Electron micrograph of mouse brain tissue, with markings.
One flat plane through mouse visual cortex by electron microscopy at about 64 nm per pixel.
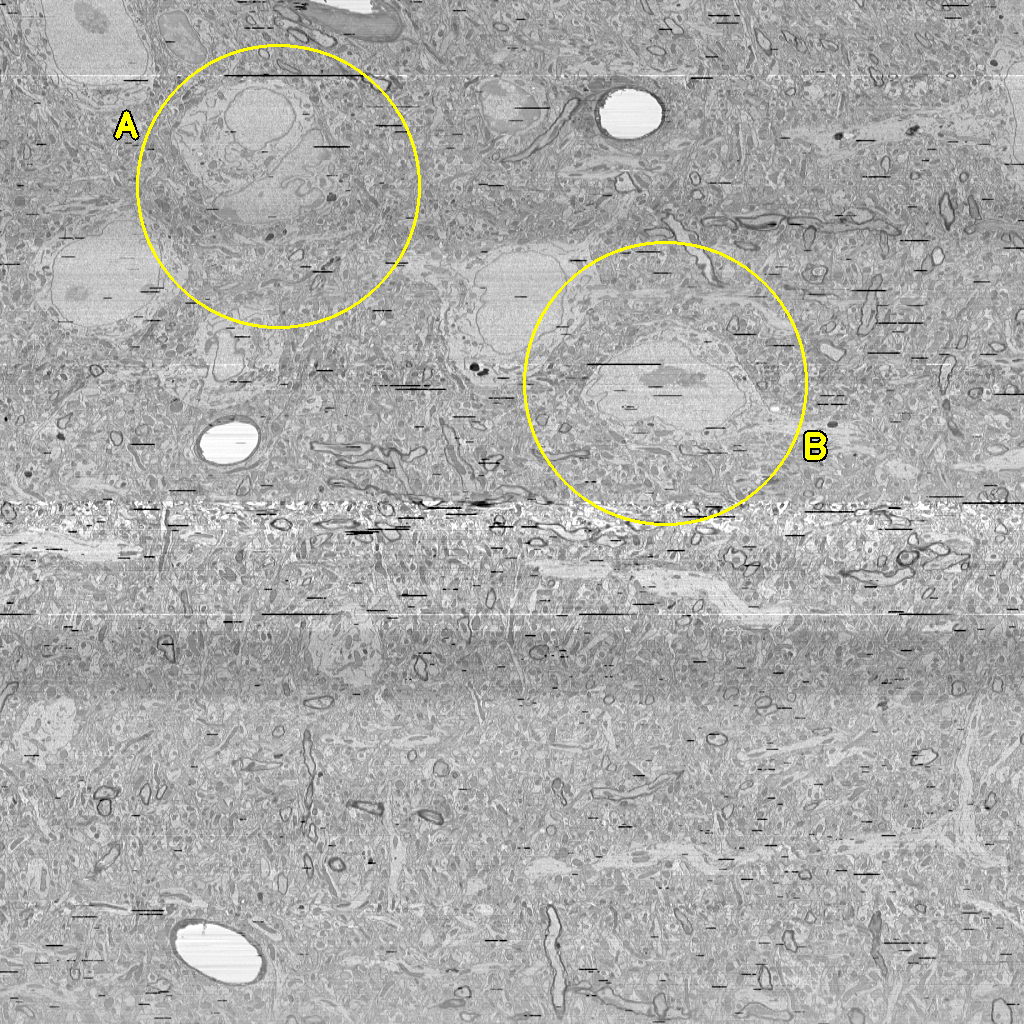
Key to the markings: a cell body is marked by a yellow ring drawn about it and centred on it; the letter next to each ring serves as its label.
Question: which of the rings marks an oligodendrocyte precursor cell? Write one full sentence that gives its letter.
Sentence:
In this picture, the ring marking that kind of cell has the letter A.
